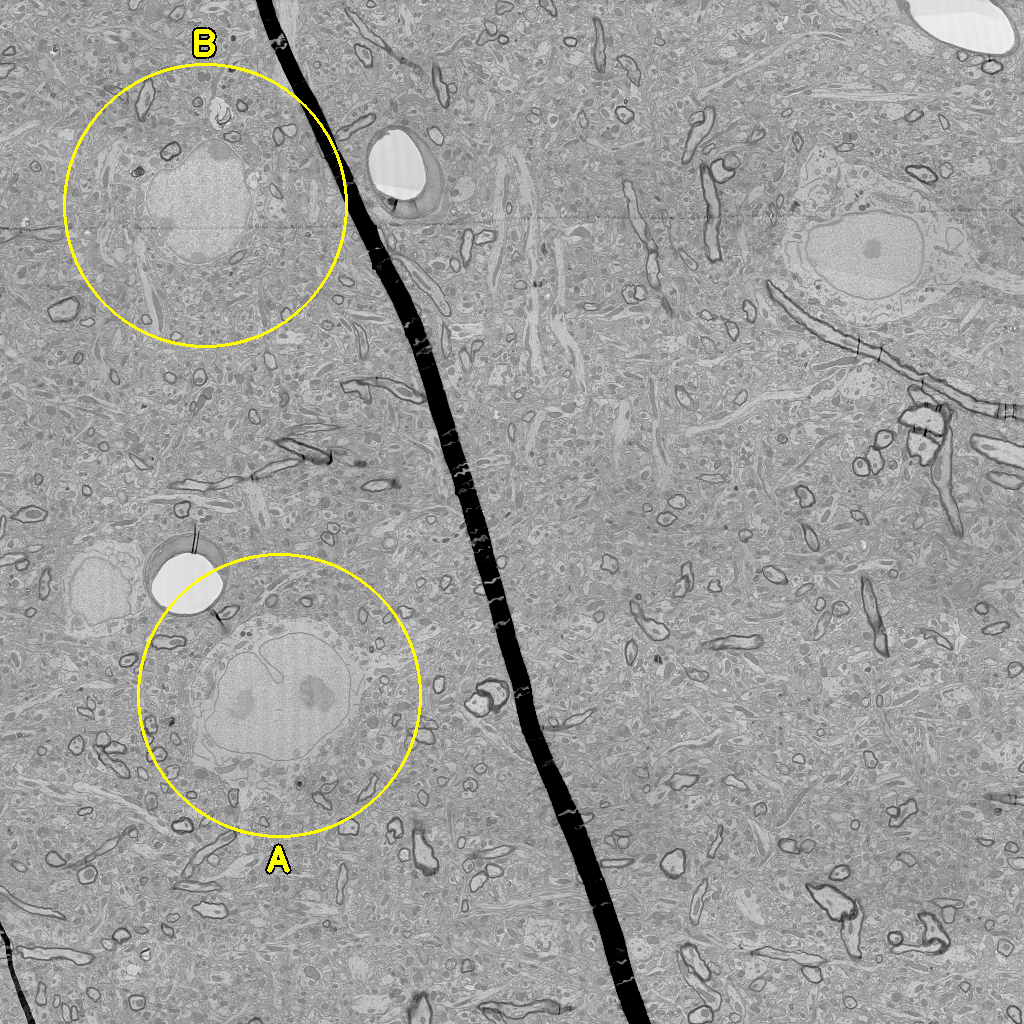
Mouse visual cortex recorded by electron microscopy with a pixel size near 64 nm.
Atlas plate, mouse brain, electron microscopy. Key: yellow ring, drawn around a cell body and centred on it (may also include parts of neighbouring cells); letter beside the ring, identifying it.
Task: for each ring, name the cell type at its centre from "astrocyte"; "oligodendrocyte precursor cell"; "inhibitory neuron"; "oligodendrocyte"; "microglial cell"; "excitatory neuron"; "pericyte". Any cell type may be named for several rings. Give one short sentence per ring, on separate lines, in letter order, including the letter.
Ring A is centred over an excitatory neuron.
Ring B is centred over an astrocyte.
